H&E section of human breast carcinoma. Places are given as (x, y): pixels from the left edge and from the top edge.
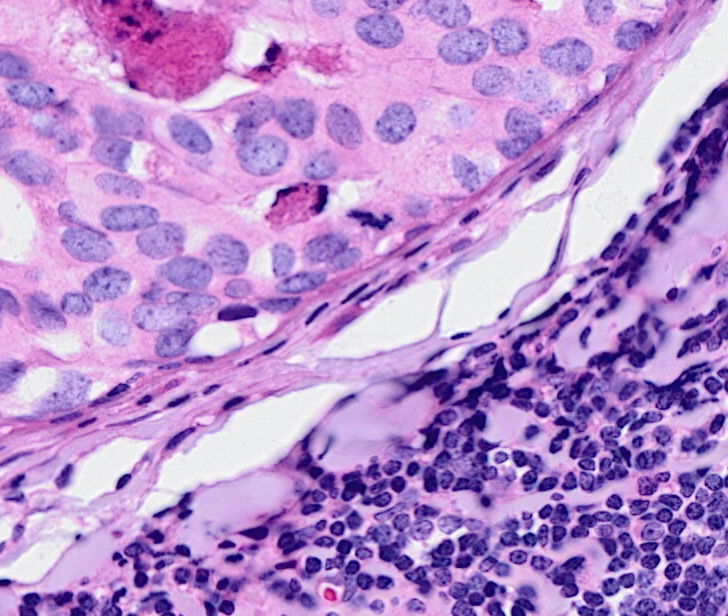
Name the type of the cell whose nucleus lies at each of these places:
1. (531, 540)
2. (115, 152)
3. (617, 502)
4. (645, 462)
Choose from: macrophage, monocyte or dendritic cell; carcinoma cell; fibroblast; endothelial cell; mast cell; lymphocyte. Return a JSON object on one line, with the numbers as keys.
{"1": "lymphocyte", "2": "carcinoma cell", "3": "lymphocyte", "4": "lymphocyte"}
